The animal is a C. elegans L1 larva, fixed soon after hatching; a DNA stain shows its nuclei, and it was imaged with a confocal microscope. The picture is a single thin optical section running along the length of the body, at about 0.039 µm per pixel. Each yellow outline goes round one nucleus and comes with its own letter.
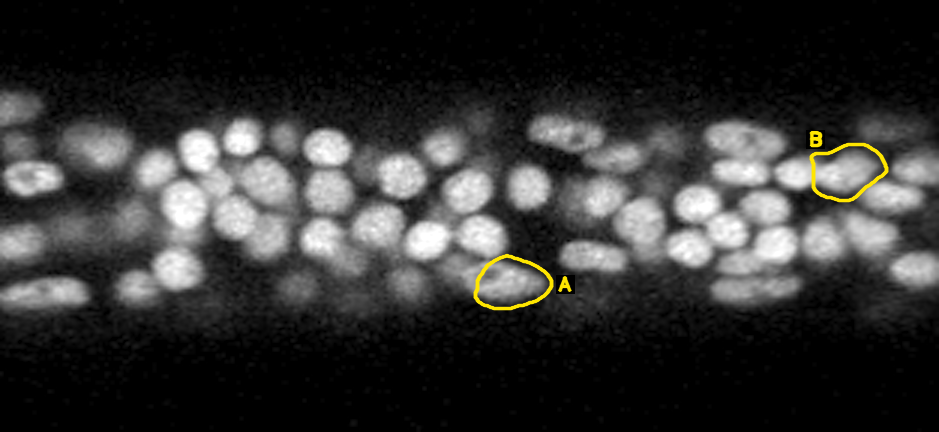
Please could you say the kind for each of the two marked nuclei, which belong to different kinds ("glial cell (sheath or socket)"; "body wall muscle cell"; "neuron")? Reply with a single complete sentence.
B belongs to a glial cell (sheath or socket), and A to a body wall muscle cell.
